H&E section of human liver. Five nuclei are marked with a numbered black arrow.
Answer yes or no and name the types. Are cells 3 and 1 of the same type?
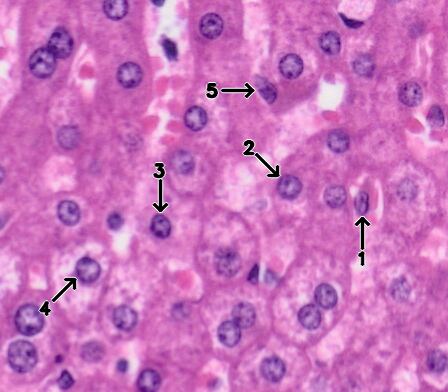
No, cell 3 is a hepatocyte and cell 1 is a Kupffer cell.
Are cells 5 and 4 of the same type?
No, cell 5 is a Kupffer cell and cell 4 is a hepatocyte.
